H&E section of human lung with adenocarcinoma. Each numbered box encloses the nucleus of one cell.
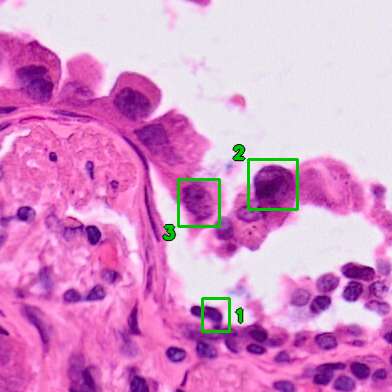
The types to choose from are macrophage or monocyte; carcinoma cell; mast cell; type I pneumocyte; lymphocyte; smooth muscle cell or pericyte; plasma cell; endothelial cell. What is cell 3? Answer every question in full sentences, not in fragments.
Numbered cell 3 is a carcinoma cell in this tissue section.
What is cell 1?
The nucleus marked 1 is the nucleus of a lymphocyte.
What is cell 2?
The cell to which the number 2 is assigned is a carcinoma cell.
